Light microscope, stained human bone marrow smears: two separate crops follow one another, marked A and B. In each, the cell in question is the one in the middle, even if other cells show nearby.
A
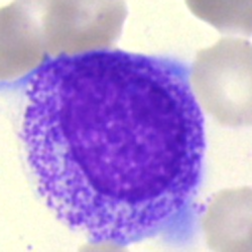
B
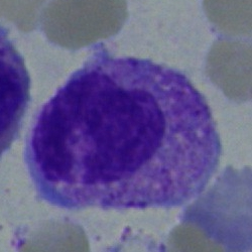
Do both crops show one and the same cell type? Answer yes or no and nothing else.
yes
